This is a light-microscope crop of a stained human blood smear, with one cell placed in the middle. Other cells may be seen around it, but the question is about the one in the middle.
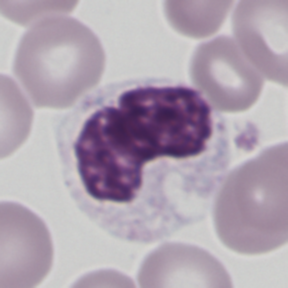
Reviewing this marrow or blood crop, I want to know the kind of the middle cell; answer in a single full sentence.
For this crop, the cell in the middle is a segmented neutrophil.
